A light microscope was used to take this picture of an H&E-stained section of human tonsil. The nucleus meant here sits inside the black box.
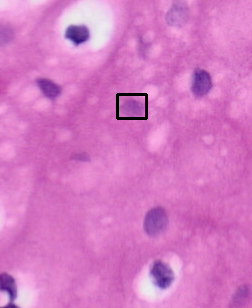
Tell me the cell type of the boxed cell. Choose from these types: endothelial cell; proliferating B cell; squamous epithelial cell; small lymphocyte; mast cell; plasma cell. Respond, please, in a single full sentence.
Recorded by type, the boxed cell is a squamous epithelial cell.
